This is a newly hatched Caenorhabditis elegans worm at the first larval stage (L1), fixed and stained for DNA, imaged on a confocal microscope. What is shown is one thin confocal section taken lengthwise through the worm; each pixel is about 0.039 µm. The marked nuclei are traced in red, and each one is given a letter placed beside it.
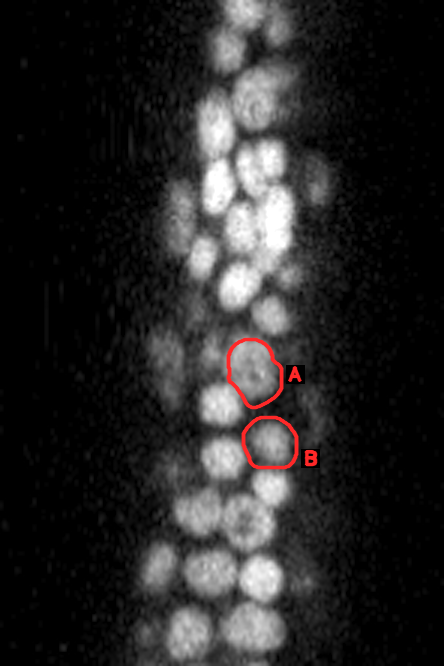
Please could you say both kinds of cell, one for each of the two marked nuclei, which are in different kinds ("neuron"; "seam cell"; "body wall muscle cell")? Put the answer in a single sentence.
A belongs to a seam cell and B to a neuron.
